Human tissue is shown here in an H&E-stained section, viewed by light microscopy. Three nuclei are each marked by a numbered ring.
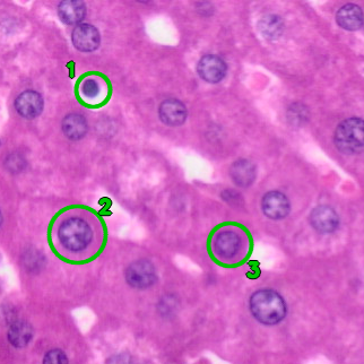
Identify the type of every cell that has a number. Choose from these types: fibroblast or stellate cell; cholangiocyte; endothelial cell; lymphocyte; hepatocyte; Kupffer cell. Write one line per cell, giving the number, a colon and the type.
1: lymphocyte
2: hepatocyte
3: hepatocyte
